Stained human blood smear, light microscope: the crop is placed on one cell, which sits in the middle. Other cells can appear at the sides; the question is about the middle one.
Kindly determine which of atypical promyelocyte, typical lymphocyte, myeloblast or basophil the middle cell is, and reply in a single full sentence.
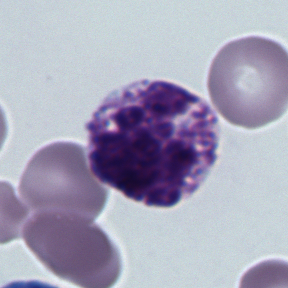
The cell around which this crop is centred is a basophil.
